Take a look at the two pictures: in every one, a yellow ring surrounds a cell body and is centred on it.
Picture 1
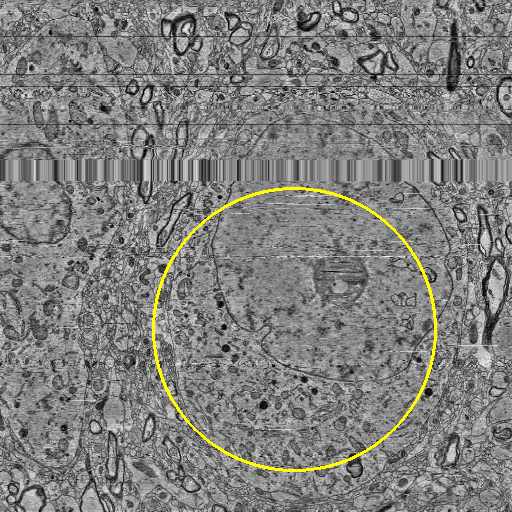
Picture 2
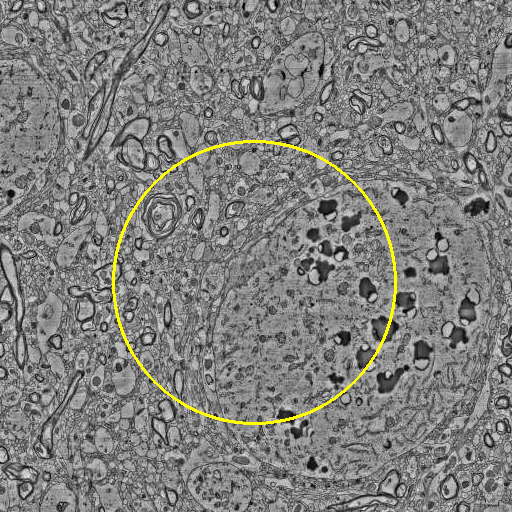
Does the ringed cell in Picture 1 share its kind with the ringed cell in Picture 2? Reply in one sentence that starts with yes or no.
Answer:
No, the two centred cells, one per picture, are of two kinds.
